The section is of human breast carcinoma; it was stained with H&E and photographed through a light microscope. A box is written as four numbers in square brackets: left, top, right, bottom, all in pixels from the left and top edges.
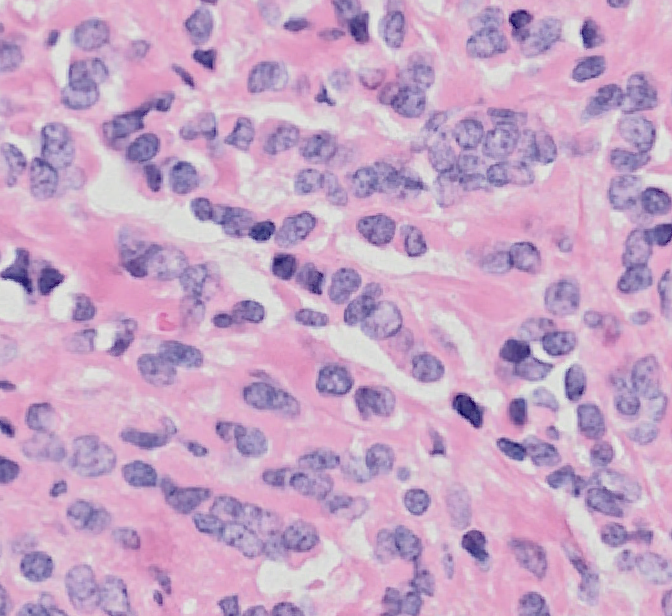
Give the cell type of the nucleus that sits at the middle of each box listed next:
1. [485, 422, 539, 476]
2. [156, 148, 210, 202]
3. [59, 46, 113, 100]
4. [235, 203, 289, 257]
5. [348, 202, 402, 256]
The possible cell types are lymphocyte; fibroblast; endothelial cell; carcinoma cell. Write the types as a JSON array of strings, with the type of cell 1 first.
["lymphocyte", "carcinoma cell", "carcinoma cell", "lymphocyte", "carcinoma cell"]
